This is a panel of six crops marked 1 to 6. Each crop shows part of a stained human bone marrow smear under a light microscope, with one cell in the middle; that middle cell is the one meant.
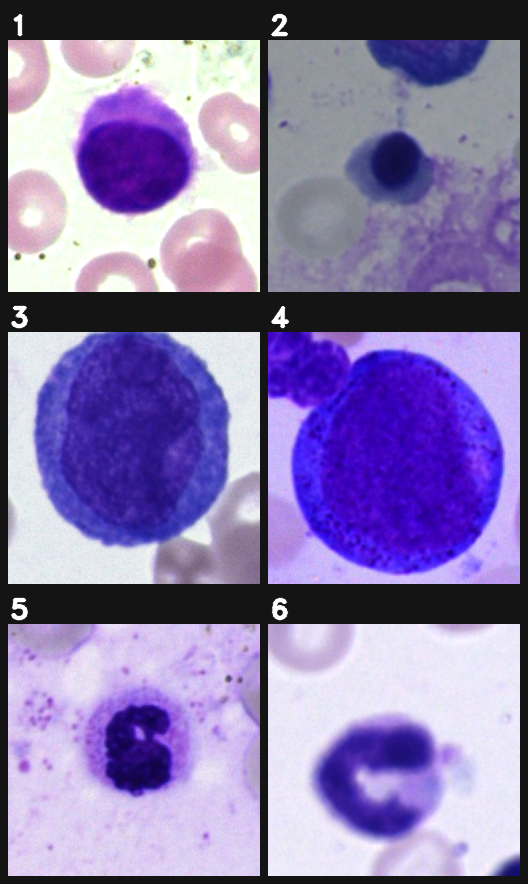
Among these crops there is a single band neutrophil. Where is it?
6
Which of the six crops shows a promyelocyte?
4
